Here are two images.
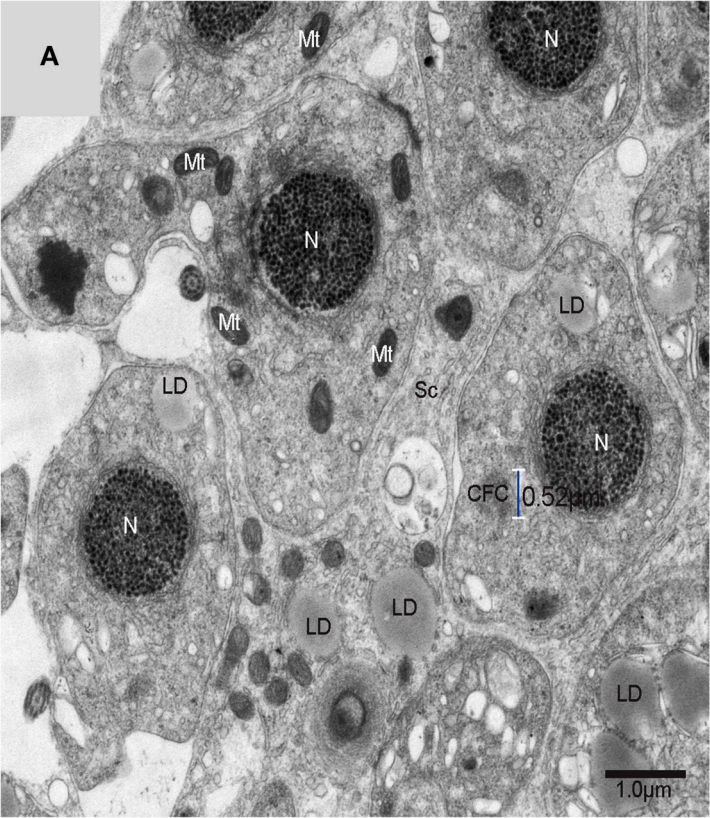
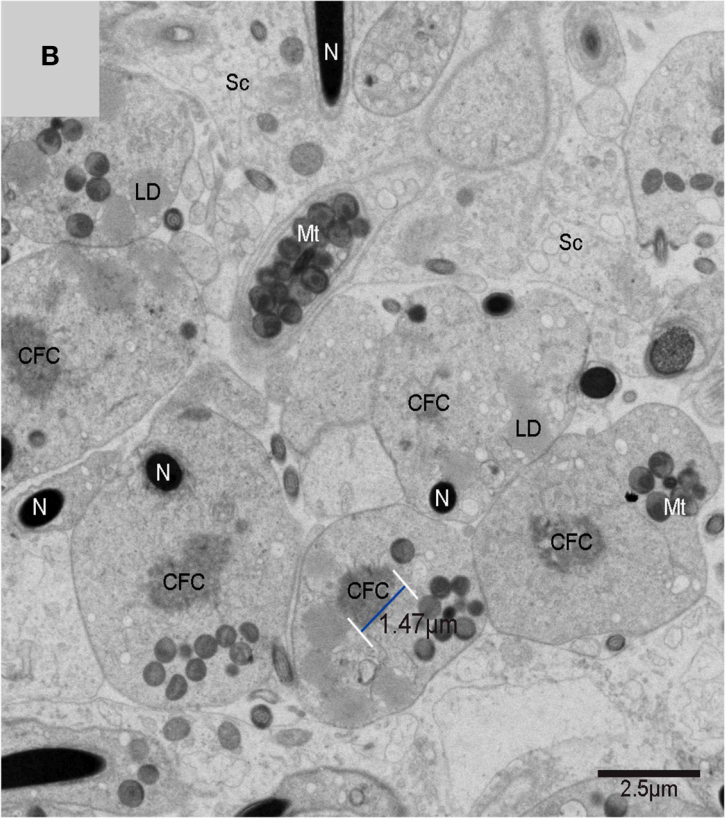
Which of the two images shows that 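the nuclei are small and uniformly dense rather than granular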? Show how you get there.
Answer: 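Second image: nuclei are small, oval or rod-like and evenly black. First image: nuclei are large, round and filled with coarse dark granules. That points to this answer: the second image.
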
